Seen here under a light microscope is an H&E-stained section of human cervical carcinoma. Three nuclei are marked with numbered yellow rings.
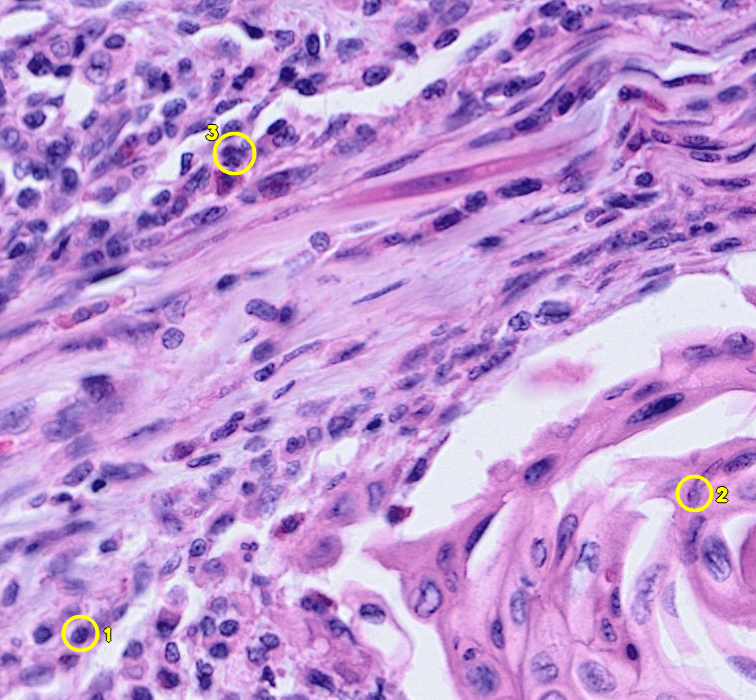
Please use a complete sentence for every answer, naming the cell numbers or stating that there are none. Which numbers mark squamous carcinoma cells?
Among the cells marked with numbers, the only one that is a squamous carcinoma cell is number 2.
